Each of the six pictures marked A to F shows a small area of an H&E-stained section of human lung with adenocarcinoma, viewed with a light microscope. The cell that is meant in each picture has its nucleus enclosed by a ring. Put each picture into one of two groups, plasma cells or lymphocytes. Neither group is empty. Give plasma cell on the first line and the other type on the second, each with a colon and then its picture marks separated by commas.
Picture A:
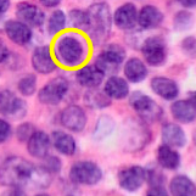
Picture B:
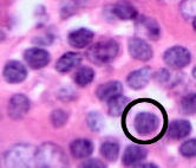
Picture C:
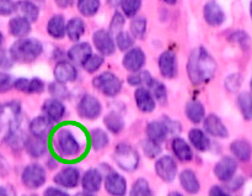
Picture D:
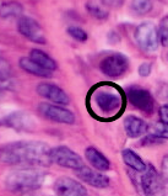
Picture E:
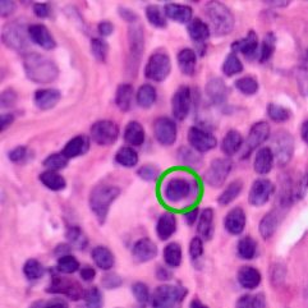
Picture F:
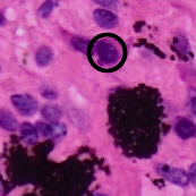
plasma cell: D, F
lymphocyte: A, B, C, E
